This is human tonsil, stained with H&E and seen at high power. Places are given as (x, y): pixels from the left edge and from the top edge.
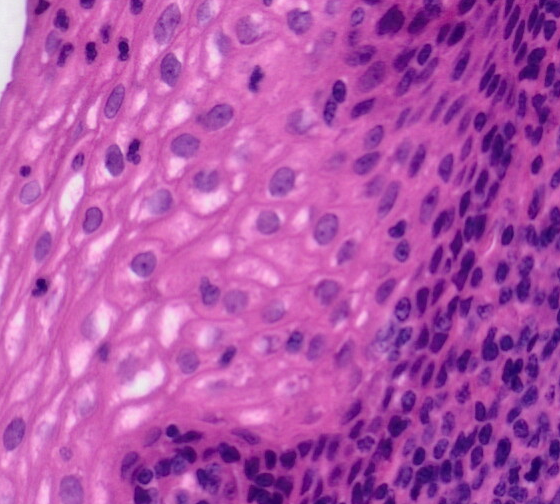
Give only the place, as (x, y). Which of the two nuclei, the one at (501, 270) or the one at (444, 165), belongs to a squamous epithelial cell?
(444, 165)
